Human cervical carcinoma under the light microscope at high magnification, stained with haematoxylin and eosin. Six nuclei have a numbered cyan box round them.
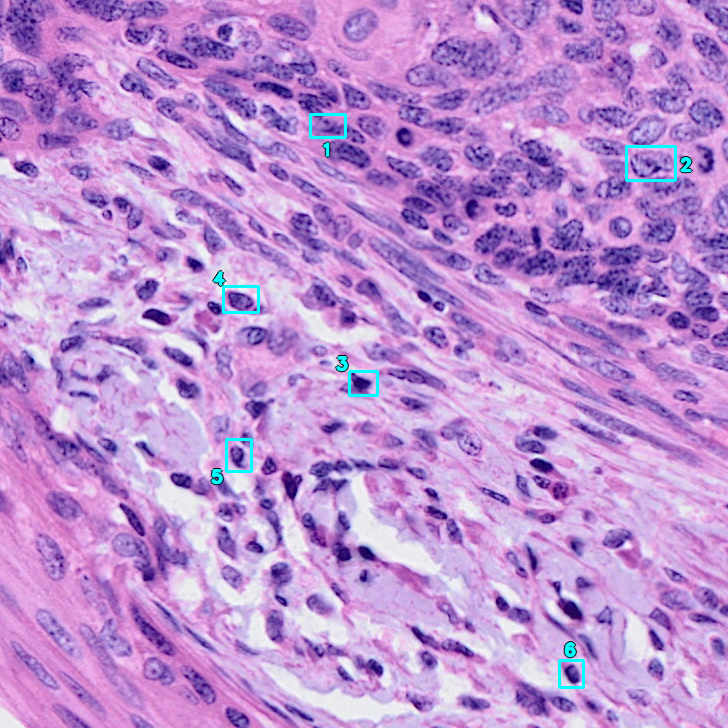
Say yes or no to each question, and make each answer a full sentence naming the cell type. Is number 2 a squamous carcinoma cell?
Yes, the cell that bears the number 2 is a squamous carcinoma cell.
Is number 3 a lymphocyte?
Yes, the cell labelled with number 3 is a lymphocyte.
